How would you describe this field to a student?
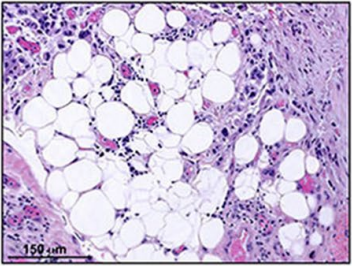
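This is adipose tissue in which clear, rounded adipocytes of clearly varying size are separated by denser pink stroma. Between the fat cells lie numerous small dark purple nuclei and small vessels filled with bright red blood cells, and pink fibrous tissue borders the fat along one side.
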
